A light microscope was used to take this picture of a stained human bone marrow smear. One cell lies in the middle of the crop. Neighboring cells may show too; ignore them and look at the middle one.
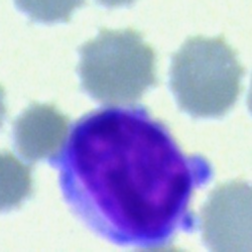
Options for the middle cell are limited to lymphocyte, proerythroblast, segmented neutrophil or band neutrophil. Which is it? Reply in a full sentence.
The crop shows a lymphocyte in its centre.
